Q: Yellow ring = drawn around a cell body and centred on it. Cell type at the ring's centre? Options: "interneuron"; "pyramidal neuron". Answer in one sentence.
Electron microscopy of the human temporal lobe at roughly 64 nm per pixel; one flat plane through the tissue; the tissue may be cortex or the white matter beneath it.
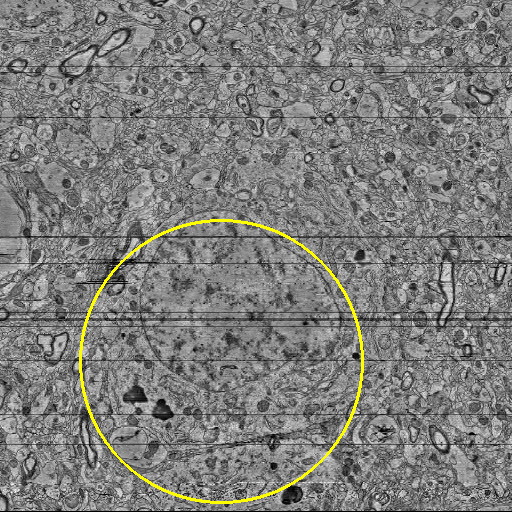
Centred in the ring is an interneuron.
